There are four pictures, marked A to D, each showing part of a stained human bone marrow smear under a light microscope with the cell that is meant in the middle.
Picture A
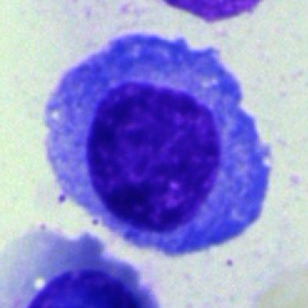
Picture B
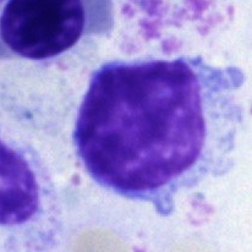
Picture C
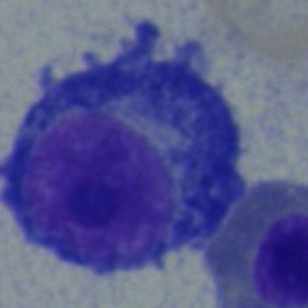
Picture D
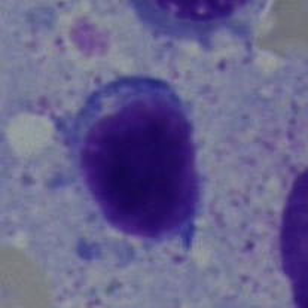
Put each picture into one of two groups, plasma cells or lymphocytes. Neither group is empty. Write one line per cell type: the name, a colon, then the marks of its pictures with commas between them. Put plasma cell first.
plasma cell: A, C
lymphocyte: B, D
